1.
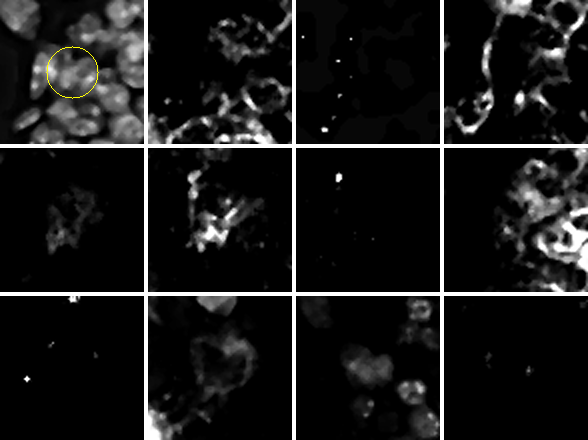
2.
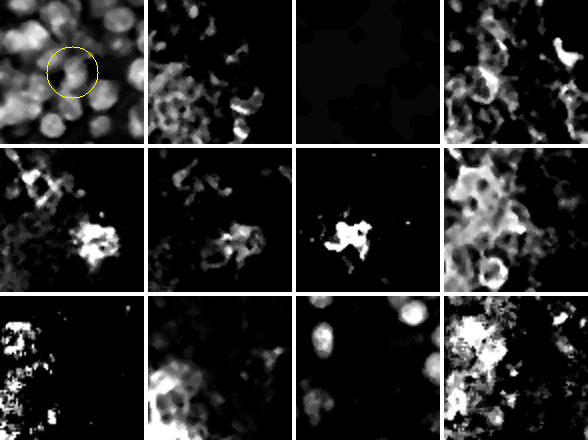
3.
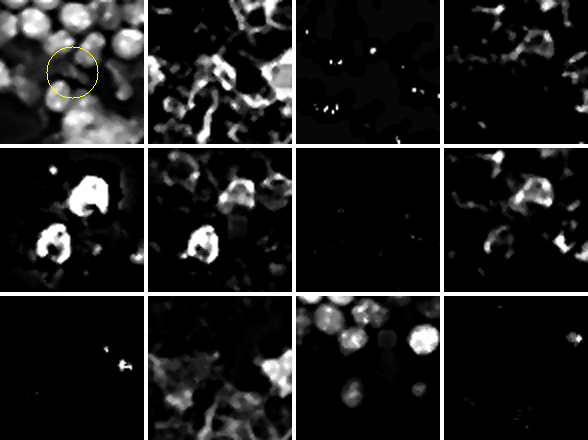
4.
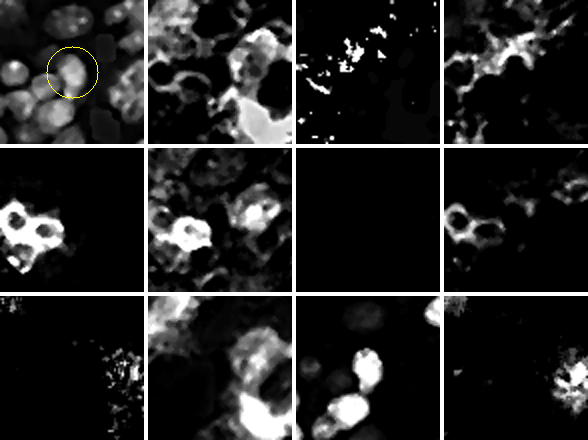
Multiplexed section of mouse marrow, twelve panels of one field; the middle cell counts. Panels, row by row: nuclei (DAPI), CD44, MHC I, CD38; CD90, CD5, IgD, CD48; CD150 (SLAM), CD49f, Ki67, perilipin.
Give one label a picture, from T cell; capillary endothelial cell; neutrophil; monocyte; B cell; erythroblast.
1. T cell
2. monocyte
3. neutrophil
4. capillary endothelial cell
